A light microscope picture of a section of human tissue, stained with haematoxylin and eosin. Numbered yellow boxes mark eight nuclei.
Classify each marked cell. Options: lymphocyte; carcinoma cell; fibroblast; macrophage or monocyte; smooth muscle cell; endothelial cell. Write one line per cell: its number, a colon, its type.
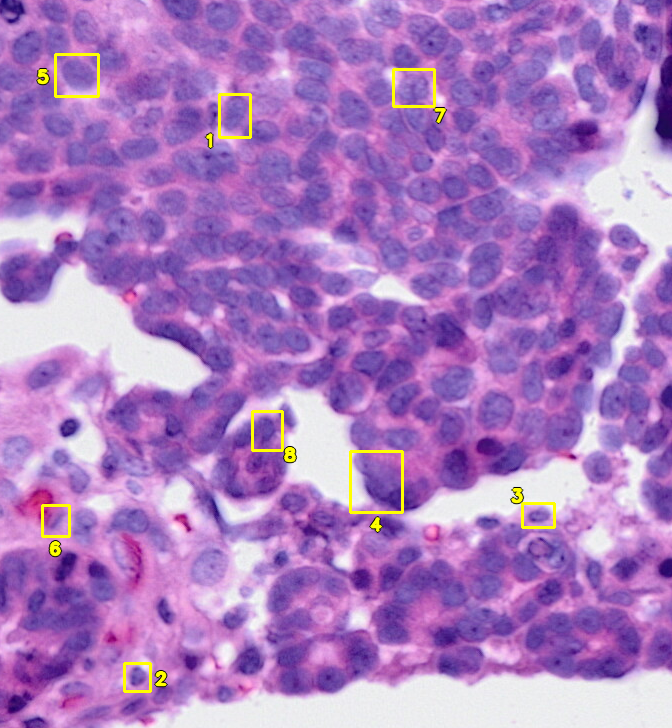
1: carcinoma cell
2: lymphocyte
3: macrophage or monocyte
4: carcinoma cell
5: carcinoma cell
6: endothelial cell
7: carcinoma cell
8: carcinoma cell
